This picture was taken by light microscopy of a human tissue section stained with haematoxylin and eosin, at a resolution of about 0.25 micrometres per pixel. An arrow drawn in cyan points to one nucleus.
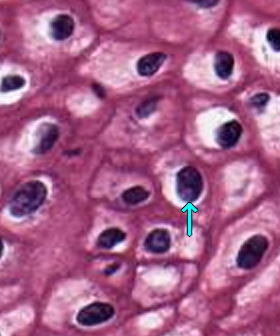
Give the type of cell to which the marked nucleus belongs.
squamous epithelial cell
